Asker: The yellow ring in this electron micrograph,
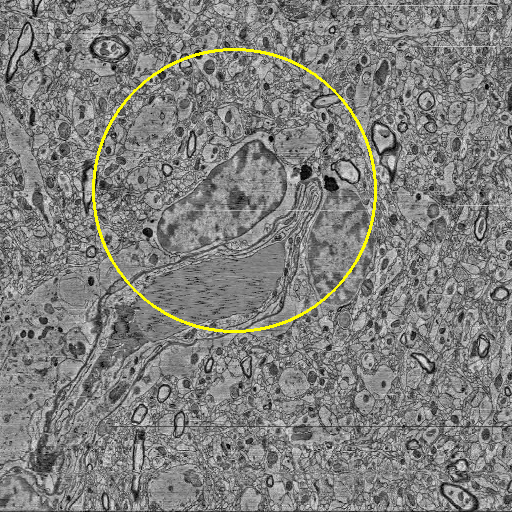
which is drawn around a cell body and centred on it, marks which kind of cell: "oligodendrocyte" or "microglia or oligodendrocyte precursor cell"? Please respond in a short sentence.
The marked cell is a microglial cell or oligodendrocyte precursor cell.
